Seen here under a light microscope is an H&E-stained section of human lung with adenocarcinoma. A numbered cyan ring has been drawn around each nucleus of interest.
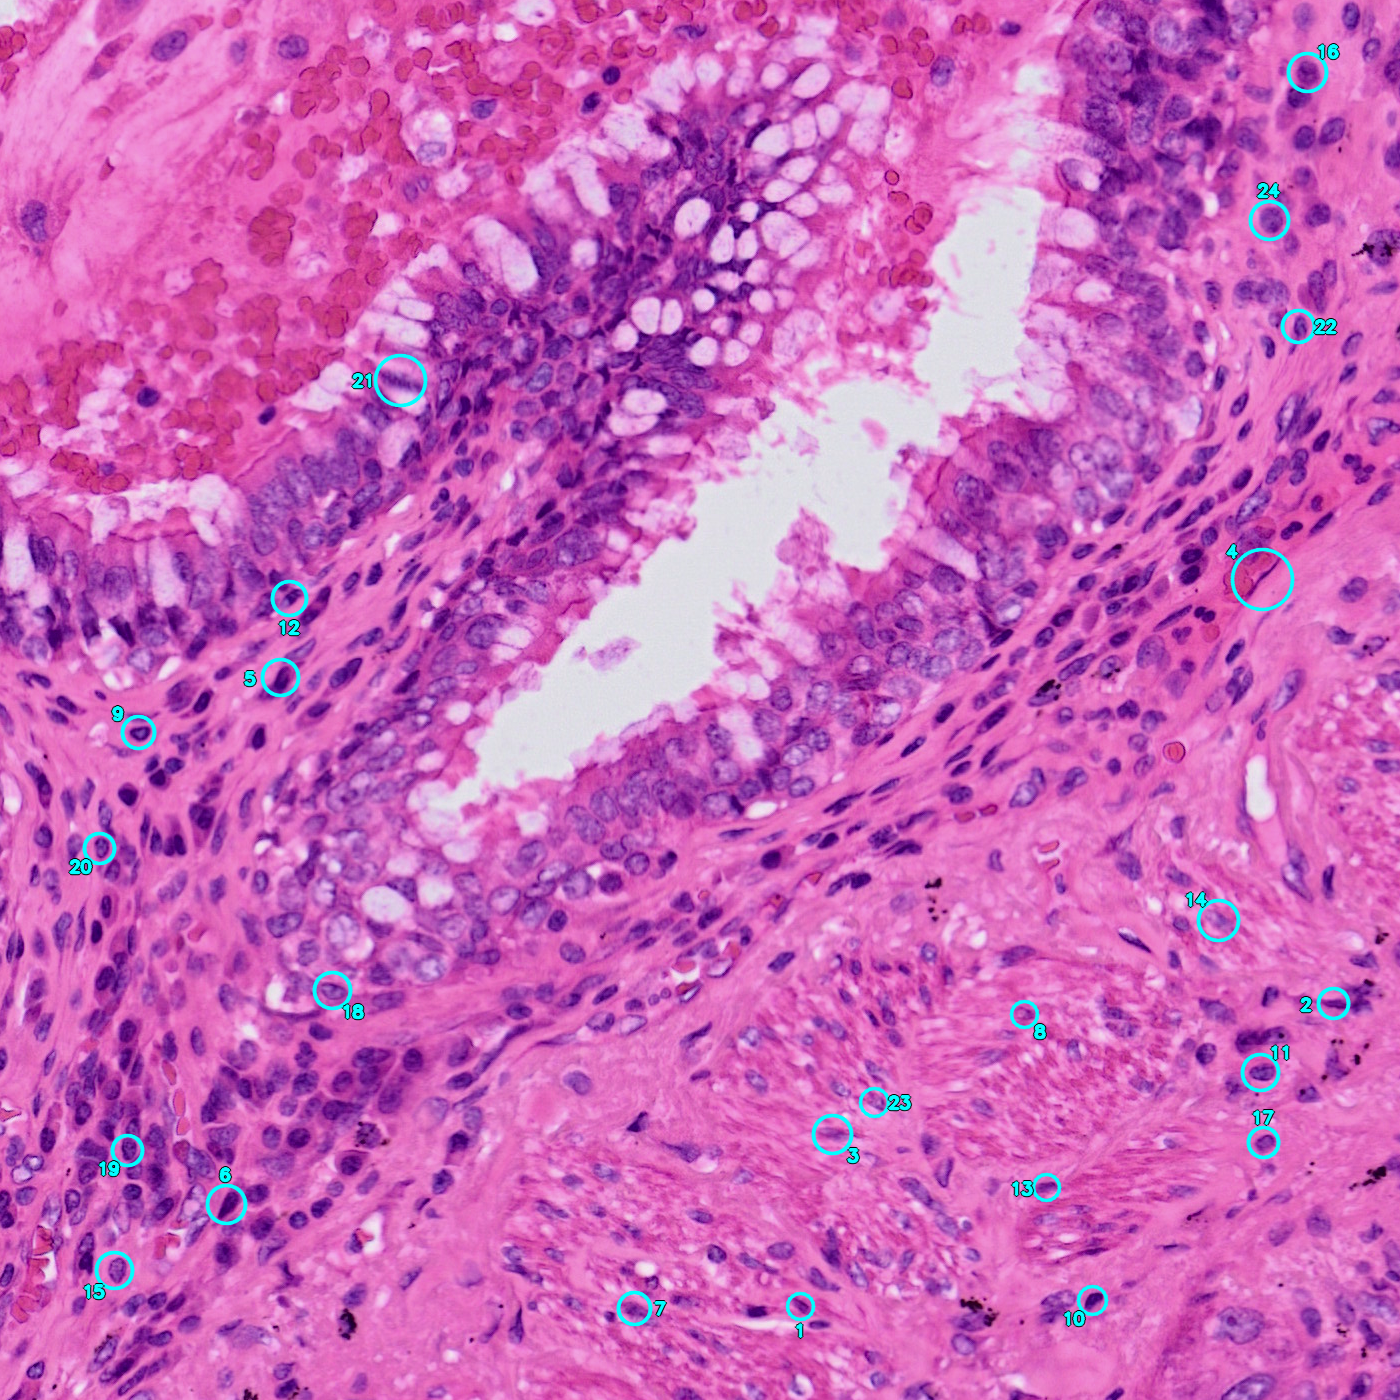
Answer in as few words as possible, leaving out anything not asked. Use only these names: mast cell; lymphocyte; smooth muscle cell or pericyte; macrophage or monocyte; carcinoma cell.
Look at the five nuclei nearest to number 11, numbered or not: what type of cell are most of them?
macrophage or monocyte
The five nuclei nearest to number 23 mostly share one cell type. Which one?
smooth muscle cell or pericyte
